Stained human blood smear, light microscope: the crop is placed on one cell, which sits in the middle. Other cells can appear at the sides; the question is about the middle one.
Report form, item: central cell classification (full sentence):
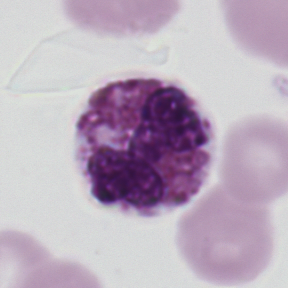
Within this crop, an eosinophil occupies the central position.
